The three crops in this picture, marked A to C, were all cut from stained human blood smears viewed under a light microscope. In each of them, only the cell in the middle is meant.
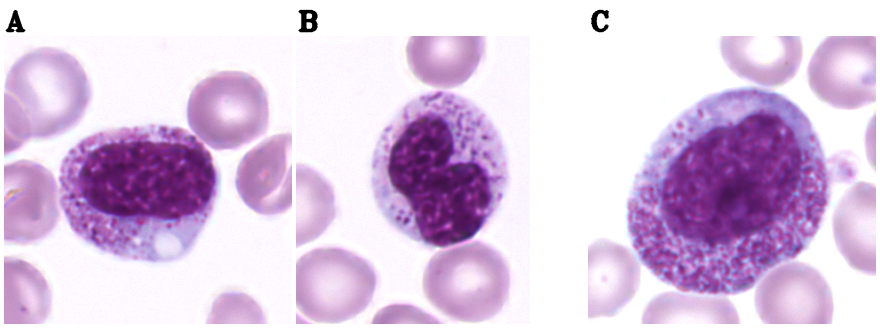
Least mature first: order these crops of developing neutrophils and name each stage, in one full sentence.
By stage of maturation, from earliest to latest, the order is crop C (a promyelocyte), crop A (a metamyelocyte) and crop B (a band neutrophil).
